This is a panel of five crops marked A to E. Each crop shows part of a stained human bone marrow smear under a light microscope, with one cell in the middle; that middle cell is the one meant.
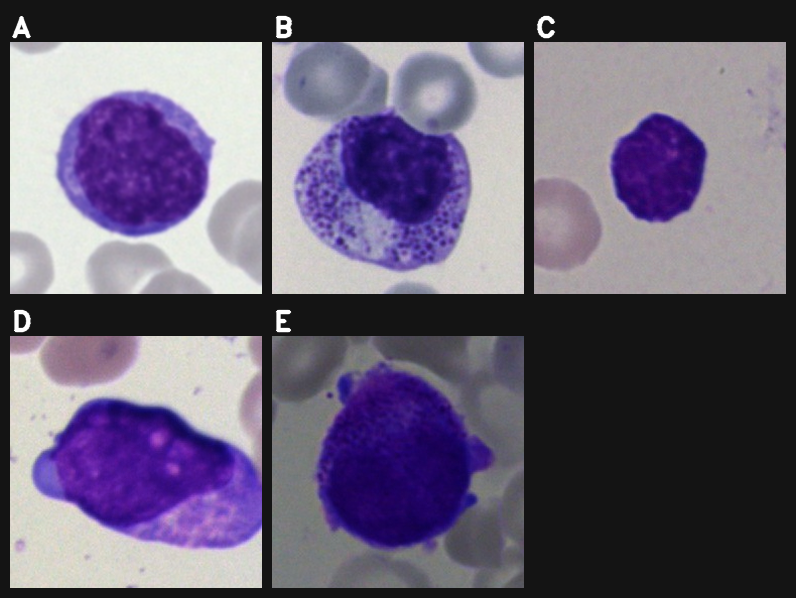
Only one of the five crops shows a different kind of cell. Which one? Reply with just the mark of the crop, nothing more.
B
